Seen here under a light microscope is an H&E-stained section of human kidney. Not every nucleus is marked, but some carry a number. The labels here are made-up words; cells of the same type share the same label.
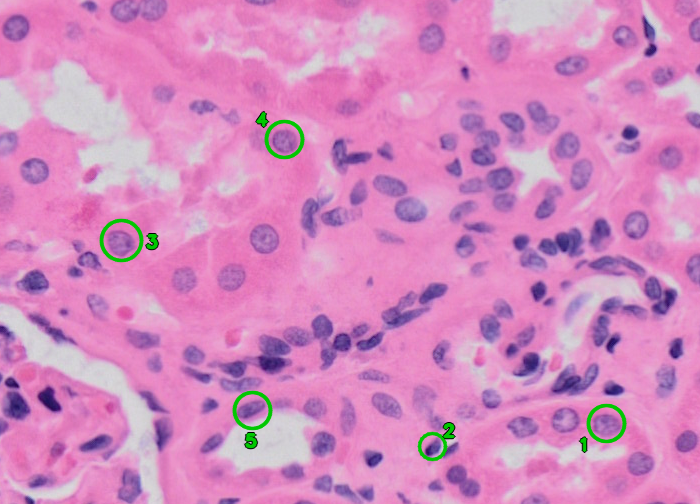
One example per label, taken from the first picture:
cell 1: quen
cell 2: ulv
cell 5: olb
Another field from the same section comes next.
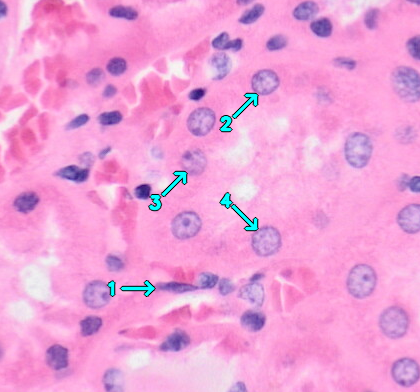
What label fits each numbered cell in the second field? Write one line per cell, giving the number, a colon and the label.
1: ulv
2: quen
3: quen
4: quen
